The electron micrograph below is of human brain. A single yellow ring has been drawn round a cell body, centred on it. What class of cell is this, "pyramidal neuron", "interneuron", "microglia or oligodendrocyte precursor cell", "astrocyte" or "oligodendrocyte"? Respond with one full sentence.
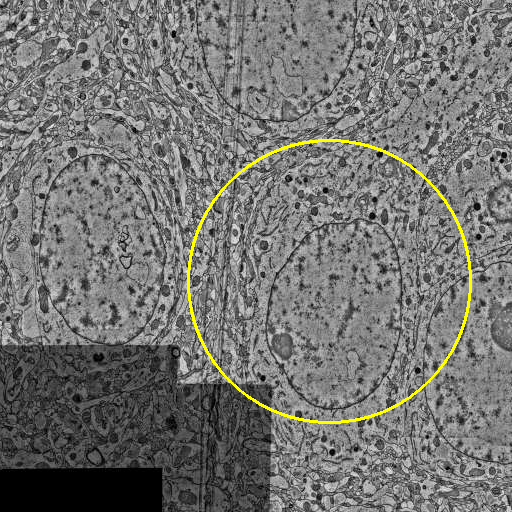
In the micrograph, the cell centred inside the yellow ring is a pyramidal neuron.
